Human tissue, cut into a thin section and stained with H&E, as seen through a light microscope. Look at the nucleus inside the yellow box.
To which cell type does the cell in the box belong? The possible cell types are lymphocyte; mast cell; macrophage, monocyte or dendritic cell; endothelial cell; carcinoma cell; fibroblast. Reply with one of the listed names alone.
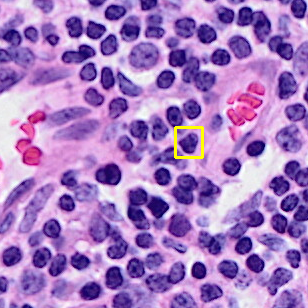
lymphocyte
